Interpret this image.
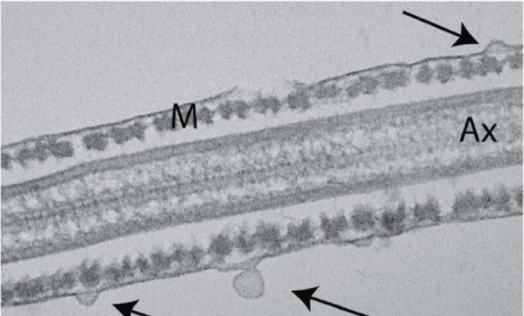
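Longitudinal section through a sperm mid-piece. A central axoneme of parallel longitudinal filaments runs the length of the section, flanked on each side by a row of dense, regularly spaced mitochondria. A thin plasma membrane covers the outside. Small round membrane-bound vesicles sit on the outer surface of the membrane at several points.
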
